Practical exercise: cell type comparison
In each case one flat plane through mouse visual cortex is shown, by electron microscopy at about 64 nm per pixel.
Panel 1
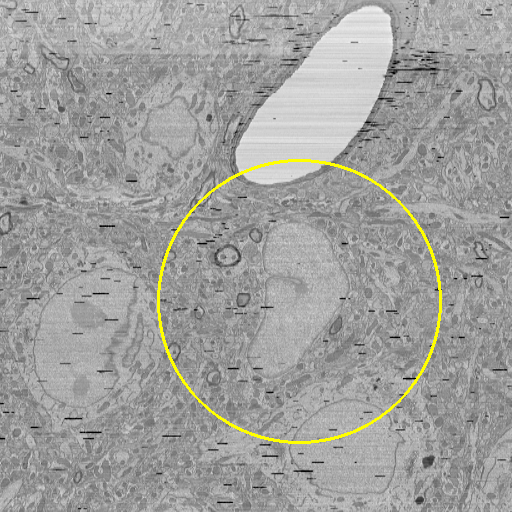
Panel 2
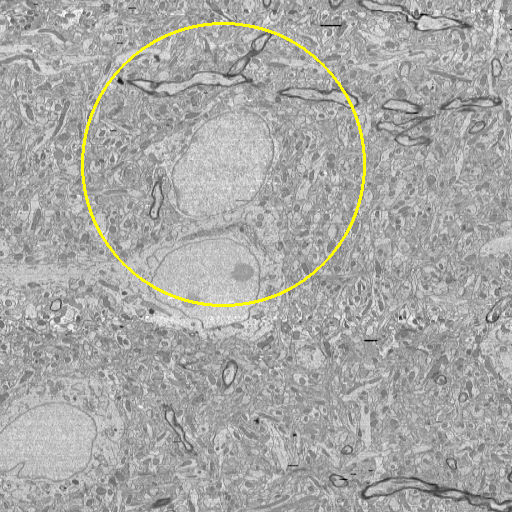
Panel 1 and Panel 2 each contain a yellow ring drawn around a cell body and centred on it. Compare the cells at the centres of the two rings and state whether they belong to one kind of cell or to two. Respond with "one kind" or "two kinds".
one kind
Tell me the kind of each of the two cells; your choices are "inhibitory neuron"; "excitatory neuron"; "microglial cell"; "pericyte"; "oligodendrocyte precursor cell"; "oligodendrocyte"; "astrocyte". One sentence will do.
Each cell, in the first picture and the second, is an astrocyte.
